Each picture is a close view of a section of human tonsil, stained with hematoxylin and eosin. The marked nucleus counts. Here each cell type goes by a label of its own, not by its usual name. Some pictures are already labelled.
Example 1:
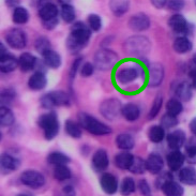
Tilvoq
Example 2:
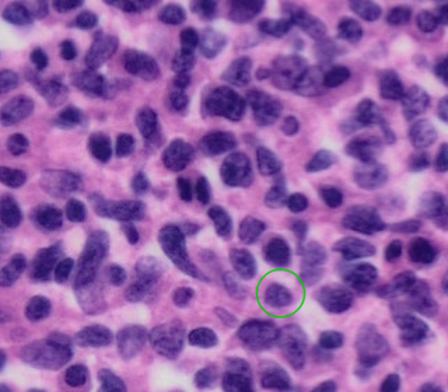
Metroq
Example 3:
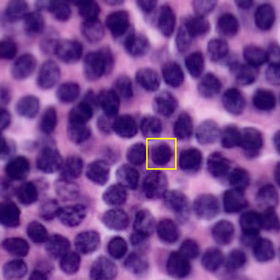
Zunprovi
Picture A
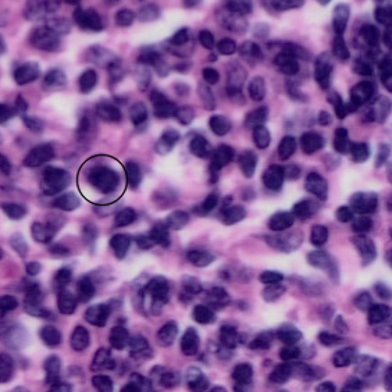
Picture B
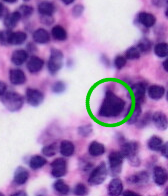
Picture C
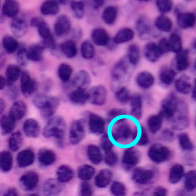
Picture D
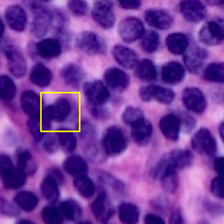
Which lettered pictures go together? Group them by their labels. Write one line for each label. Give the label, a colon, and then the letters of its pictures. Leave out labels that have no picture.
Metroq: A, B
Zunprovi: C, D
